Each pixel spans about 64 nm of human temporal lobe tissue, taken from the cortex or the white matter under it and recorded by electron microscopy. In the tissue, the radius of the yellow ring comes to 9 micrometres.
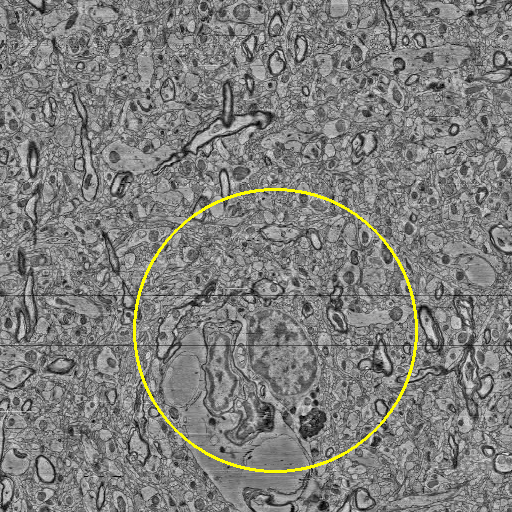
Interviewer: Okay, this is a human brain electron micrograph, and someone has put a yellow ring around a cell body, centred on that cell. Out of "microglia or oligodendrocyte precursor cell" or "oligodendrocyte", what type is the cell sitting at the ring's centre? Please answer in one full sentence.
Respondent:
The cell at the centre of the yellow ring in this picture is an oligodendrocyte.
